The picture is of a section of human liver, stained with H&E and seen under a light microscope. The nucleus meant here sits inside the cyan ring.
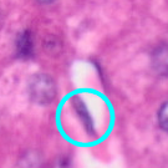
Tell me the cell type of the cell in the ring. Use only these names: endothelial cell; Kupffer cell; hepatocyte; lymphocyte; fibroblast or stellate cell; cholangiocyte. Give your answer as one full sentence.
The expected answer is simply that the cell in the ring is a Kupffer cell.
